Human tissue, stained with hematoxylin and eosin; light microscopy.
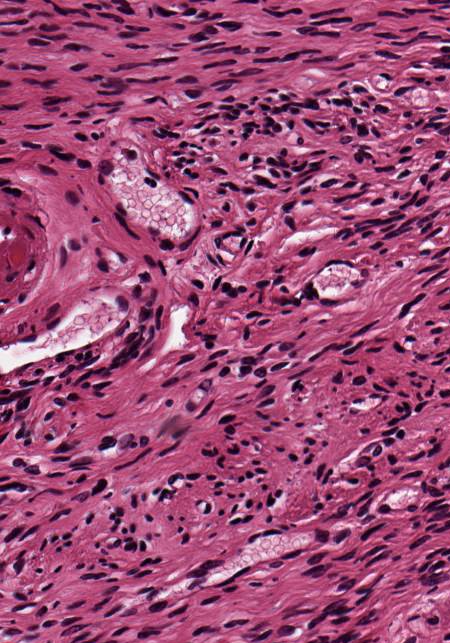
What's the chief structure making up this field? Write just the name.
smooth muscle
